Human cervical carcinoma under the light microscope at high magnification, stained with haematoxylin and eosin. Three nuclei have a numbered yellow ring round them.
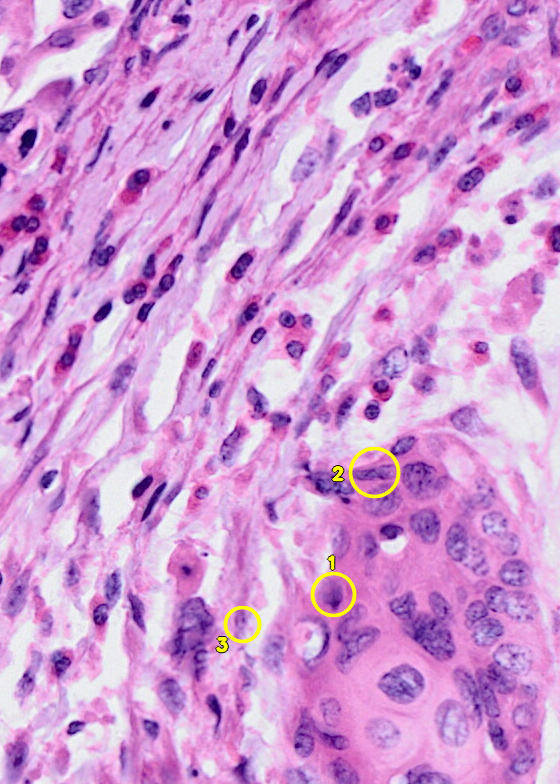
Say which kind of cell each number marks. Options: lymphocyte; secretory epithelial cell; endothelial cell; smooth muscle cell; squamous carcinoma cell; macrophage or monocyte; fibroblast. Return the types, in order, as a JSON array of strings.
["squamous carcinoma cell", "squamous carcinoma cell", "fibroblast"]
